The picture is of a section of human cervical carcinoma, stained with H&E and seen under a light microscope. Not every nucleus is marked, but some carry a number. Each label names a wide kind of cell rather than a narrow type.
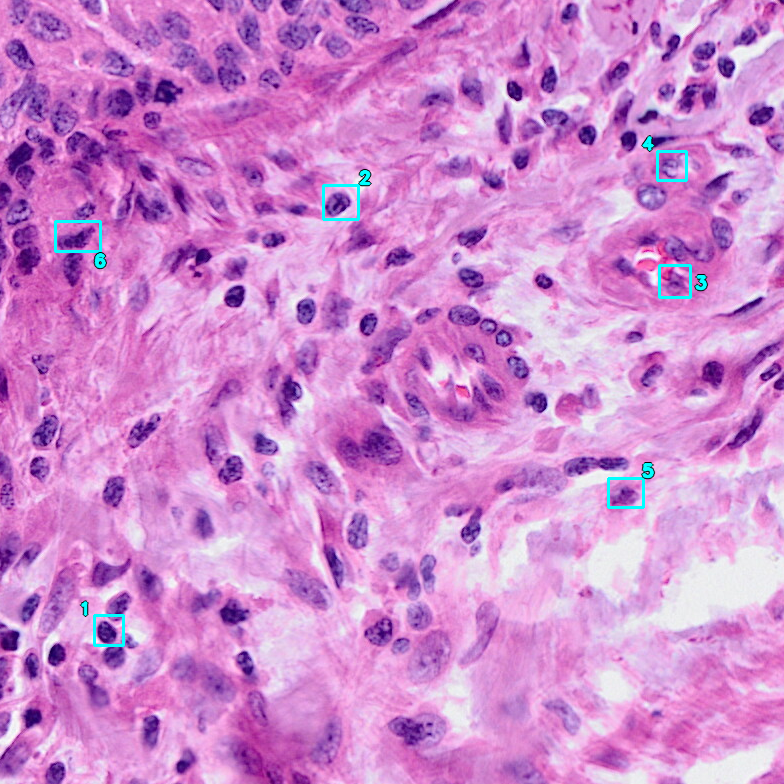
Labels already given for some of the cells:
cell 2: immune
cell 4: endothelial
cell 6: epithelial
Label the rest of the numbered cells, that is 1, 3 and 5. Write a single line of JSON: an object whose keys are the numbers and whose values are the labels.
{"1": "immune", "3": "endothelial", "5": "endothelial"}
